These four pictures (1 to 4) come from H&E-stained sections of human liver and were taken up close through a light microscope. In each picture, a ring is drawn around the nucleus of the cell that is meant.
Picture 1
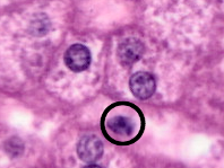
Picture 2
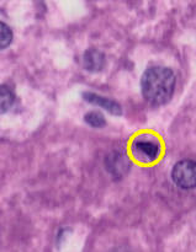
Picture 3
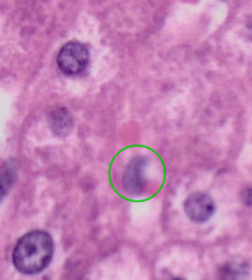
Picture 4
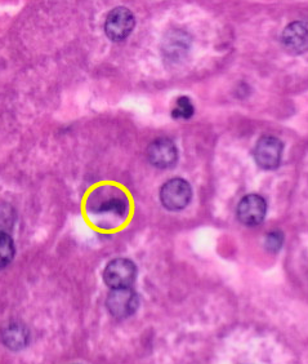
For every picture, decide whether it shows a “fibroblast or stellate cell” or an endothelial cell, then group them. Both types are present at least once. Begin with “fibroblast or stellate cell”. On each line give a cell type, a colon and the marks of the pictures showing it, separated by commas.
fibroblast or stellate cell: 2
endothelial cell: 1, 3, 4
